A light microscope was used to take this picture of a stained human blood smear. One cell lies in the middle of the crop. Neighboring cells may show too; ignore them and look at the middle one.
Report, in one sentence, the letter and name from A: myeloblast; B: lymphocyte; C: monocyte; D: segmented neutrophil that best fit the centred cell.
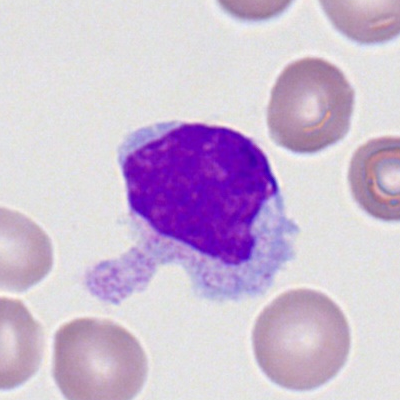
The cell centered in the crop is a lymphocyte, making option B the correct pick.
